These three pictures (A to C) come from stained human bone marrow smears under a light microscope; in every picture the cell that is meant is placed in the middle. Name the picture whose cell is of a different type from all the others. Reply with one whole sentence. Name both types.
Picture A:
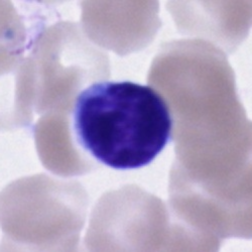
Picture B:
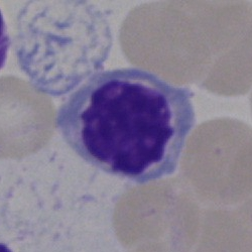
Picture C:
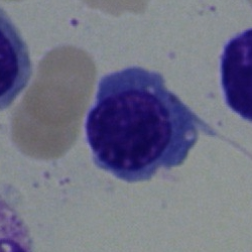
The others show erythroblasts, but picture A shows a lymphocyte.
